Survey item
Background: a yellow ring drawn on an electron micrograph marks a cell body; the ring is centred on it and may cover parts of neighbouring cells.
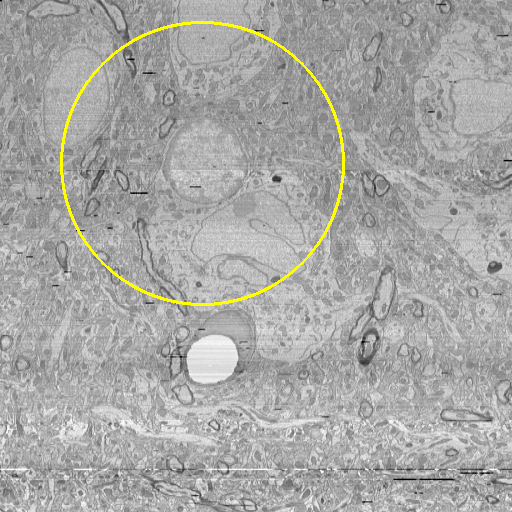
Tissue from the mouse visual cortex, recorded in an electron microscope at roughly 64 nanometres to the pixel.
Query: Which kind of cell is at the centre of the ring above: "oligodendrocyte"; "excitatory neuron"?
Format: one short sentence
The cell in the middle of the ring is an oligodendrocyte.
